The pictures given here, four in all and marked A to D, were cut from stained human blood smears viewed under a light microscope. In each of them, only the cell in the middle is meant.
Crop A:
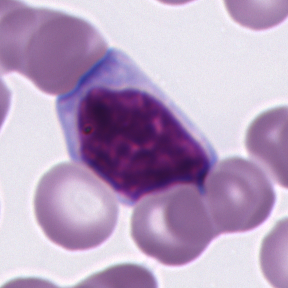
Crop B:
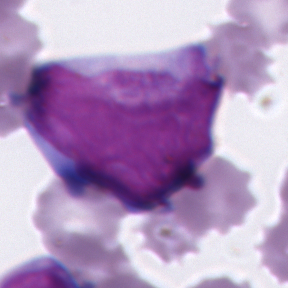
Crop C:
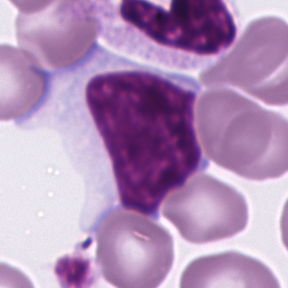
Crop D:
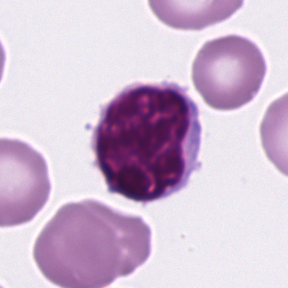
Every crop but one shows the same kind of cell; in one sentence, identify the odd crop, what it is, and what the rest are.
Crop B is a blast, while the rest of the set consists of lymphocytes.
